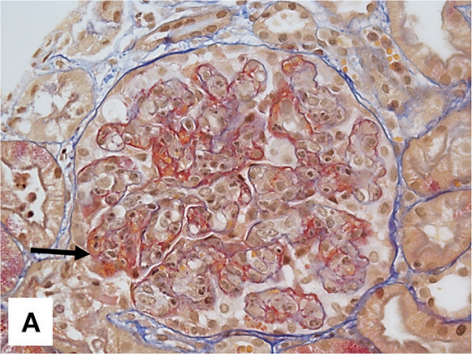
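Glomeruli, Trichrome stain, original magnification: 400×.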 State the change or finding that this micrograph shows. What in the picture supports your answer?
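The glomerular tuft is crowded with nuclei throughout. Capillary lumens are largely occluded by cells. The tuft is divided into distinct lobules. That points to this answer: endocapillary proliferation.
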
